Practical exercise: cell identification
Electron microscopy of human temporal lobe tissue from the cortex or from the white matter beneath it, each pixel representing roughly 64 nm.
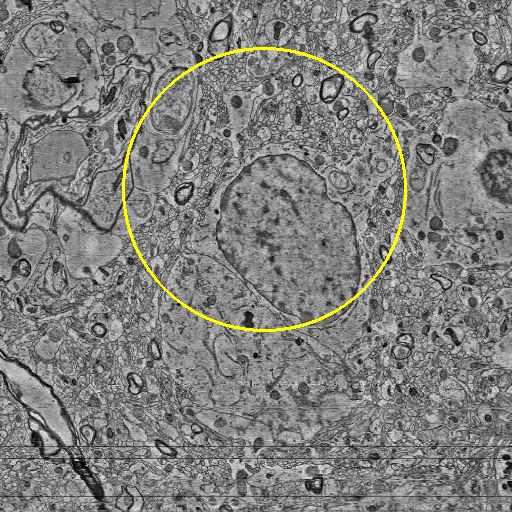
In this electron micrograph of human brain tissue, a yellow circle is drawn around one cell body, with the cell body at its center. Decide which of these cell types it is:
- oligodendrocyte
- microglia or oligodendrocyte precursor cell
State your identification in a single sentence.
The ringed cell is a microglial cell or oligodendrocyte precursor cell.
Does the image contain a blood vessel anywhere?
Yes, a vessel appears in the picture.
